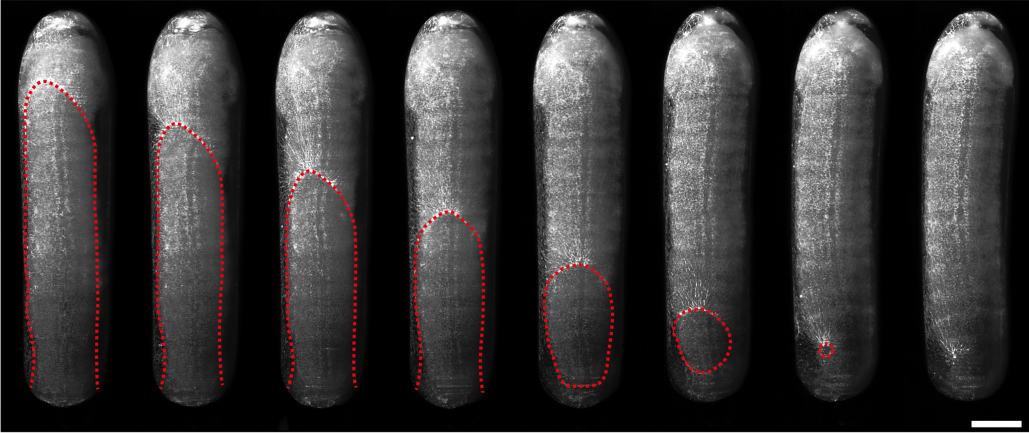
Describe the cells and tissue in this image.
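A series of views of an elongate insect embryo, with a thin extraembryonic membrane spreading over its surface as a fine, bright, fibrous sheet. The uncovered region, outlined by a red dashed line, starts long and wide along the embryo and narrows step by step toward the lower pole. Bright streaks of cells converge on the edge of the opening as it shrinks to a small ring.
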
